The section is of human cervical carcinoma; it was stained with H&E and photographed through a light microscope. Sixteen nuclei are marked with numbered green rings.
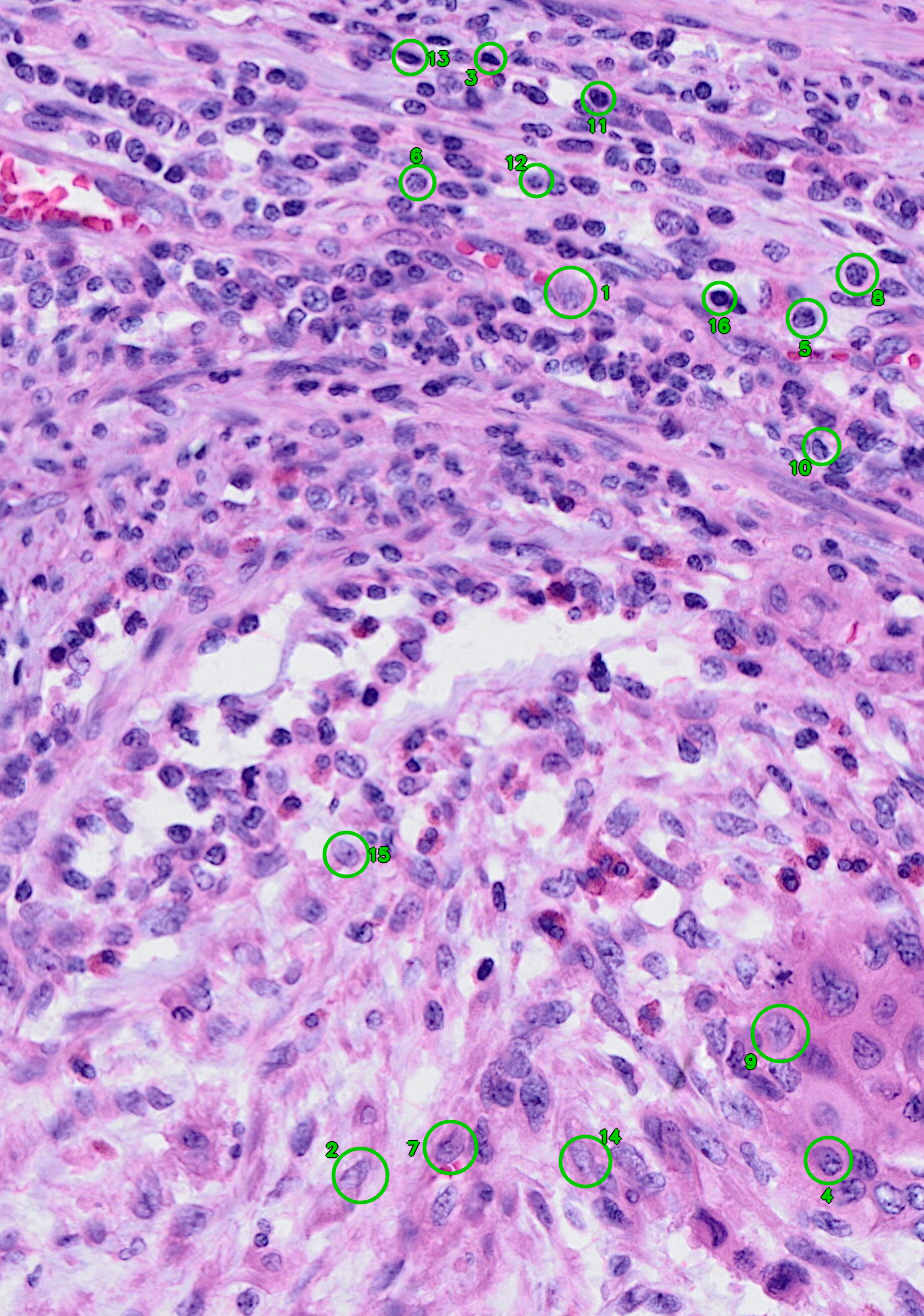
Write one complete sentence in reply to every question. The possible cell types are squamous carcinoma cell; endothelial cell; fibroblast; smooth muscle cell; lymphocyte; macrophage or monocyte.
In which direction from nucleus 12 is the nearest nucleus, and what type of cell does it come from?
The closest nucleus belongs to a macrophage or monocyte and sits to the right of nucleus 12.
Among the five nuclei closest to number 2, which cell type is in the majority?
Fibroblasts account for more than half of the five nuclei nearest to number 2.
